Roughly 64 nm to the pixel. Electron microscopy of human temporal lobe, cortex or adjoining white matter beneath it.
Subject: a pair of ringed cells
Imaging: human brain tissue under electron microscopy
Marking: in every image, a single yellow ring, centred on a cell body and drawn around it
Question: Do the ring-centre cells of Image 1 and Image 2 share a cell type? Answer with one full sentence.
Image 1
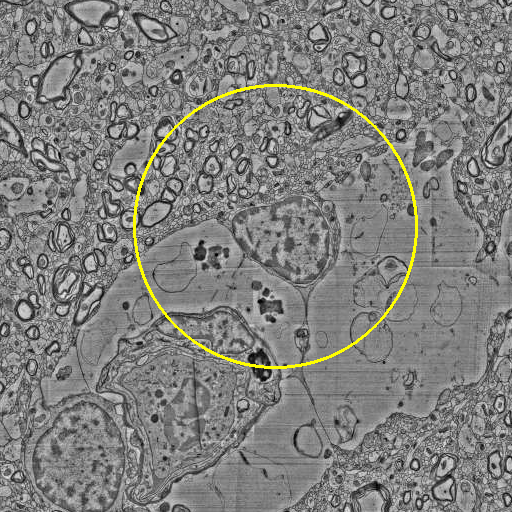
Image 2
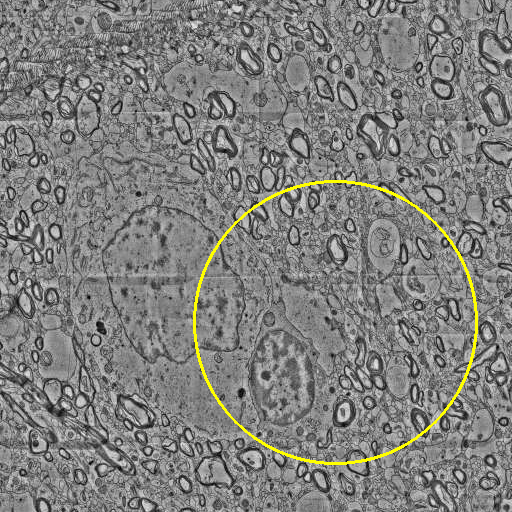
Yes, at each ring's centre in the images sits a cell of one common type.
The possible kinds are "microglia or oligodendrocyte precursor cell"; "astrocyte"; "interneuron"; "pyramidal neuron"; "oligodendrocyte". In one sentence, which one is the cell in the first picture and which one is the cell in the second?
Each cell at the centre of a ring is a microglial cell or oligodendrocyte precursor cell.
